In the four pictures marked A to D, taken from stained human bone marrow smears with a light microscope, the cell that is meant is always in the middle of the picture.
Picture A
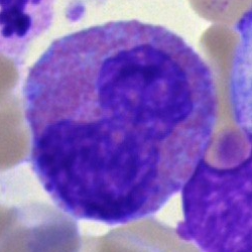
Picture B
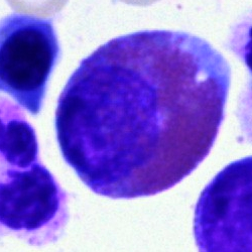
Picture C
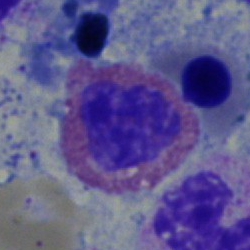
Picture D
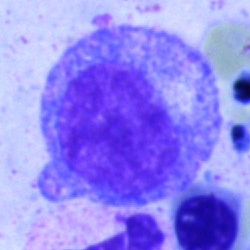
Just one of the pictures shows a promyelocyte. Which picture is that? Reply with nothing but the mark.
D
